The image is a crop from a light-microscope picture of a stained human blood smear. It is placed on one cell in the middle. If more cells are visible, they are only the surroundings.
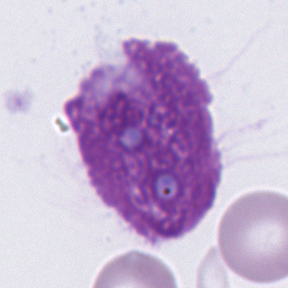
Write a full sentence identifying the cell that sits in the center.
The cell positioned in the middle of the field is a smudge cell.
